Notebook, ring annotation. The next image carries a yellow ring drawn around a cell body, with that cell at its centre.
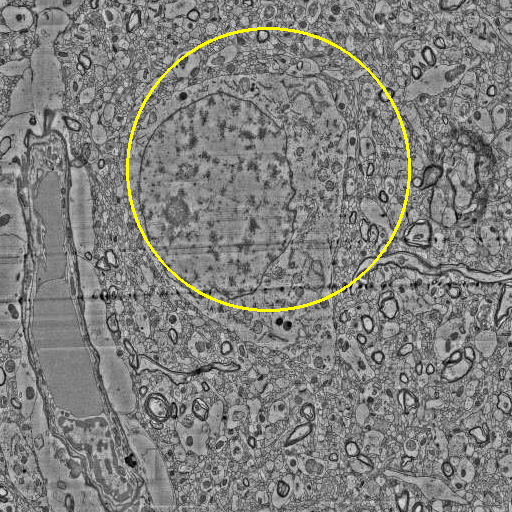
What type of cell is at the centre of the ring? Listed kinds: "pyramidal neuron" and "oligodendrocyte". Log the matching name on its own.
pyramidal neuron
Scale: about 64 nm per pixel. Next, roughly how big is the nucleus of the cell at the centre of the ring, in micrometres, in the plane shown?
About 13 by 10 micrometers for the nucleus, in this plane.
